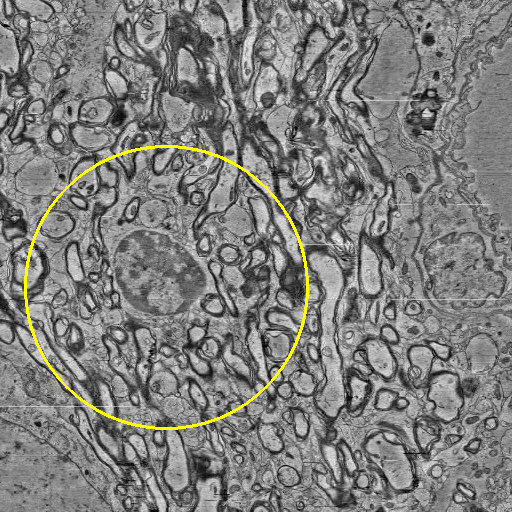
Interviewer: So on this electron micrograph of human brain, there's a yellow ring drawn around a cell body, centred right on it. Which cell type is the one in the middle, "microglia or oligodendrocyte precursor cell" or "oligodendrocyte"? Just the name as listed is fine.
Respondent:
microglia or oligodendrocyte precursor cell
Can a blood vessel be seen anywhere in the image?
Yes, a blood vessel can be seen.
